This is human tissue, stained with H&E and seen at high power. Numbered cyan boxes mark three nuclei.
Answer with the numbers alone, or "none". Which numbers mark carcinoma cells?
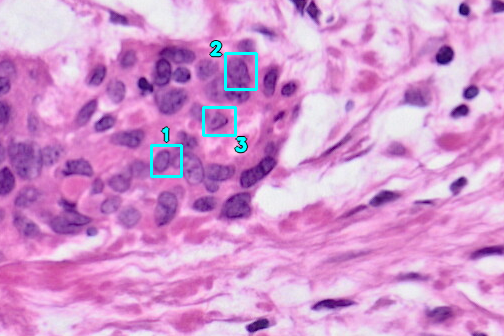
1, 2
